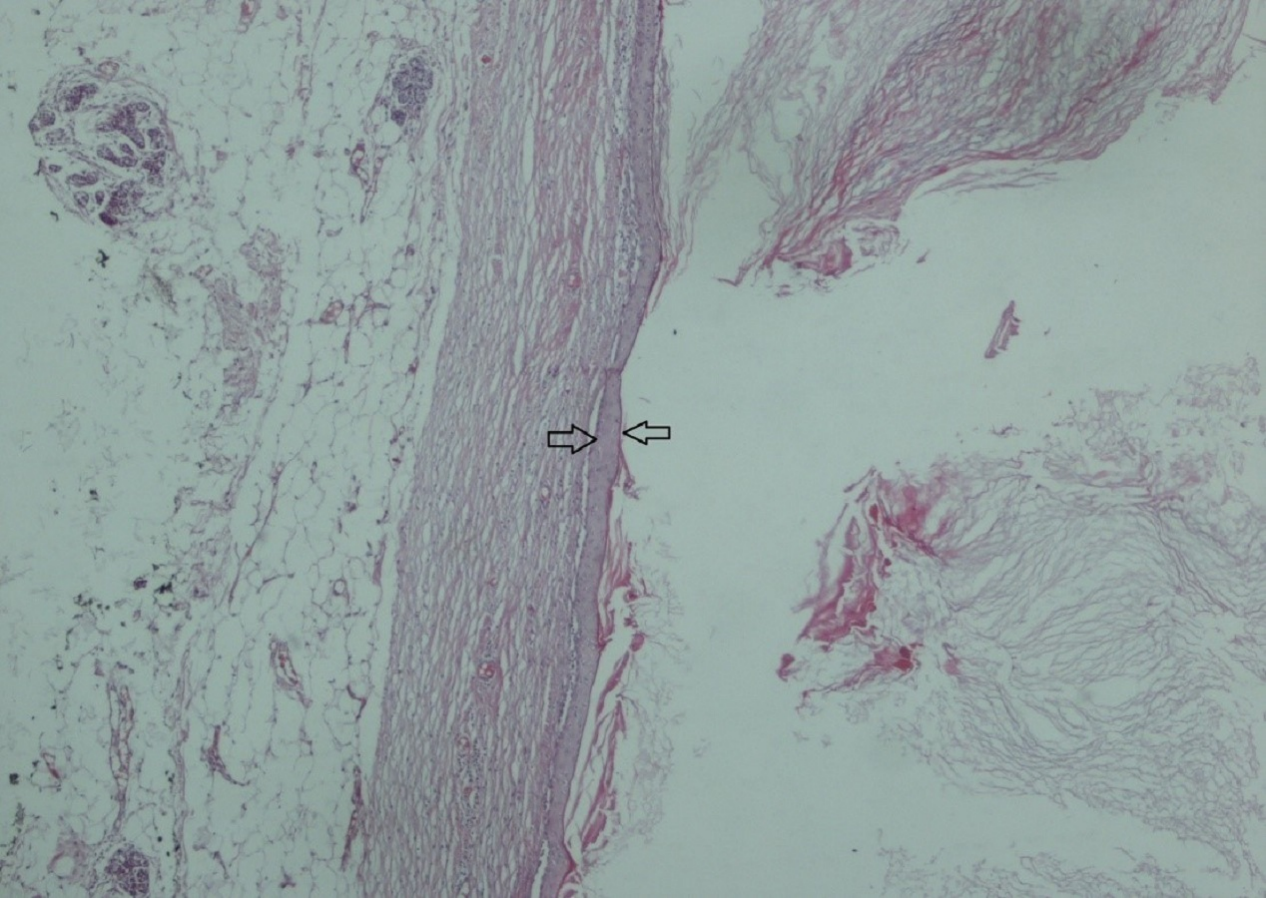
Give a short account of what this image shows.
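This is the wall of a cyst in breast tissue, lined on its inner face by a thin, darker purple layer of squamous epithelium that rests on a thick band of pale pink, wavy fibrous tissue. The cavity beside it holds loose, laminated pink flakes of keratinized material. On the opposite side lie fat cells with clear, empty-looking spaces and small clusters of purple glandular breast lobules.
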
